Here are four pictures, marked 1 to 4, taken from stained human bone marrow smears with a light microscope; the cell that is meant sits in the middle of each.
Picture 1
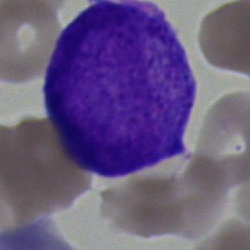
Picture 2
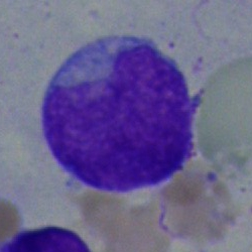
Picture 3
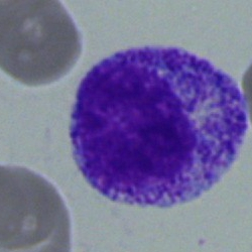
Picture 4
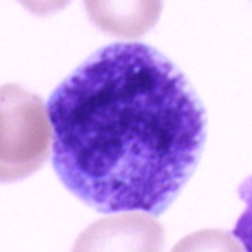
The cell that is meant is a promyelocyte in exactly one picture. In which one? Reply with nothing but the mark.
4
